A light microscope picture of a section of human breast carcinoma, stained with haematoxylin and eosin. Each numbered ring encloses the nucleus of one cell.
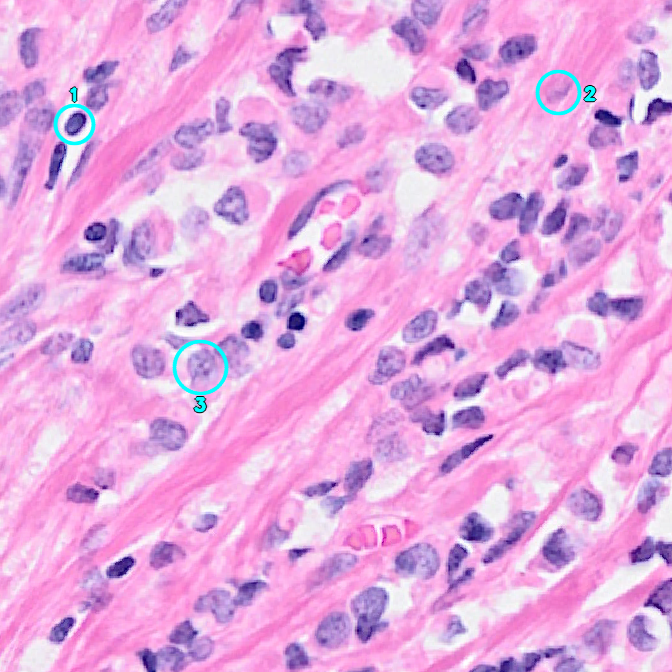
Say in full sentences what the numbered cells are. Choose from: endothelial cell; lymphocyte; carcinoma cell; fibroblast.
Cell 1 is a lymphocyte, cell 2 is a fibroblast and cell 3 is a carcinoma cell.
